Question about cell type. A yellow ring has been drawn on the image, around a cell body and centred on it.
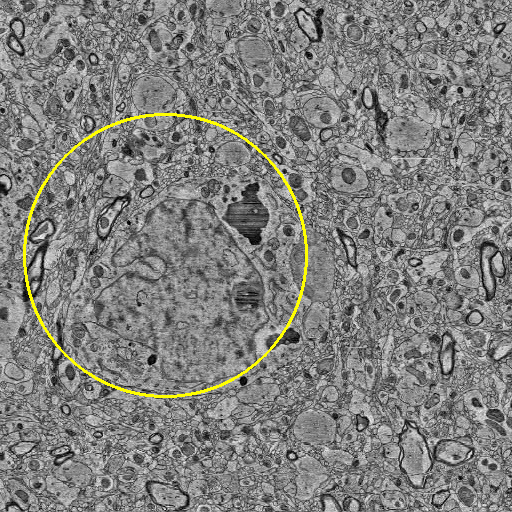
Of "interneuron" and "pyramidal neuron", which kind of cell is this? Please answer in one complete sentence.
At the centre of the ring lies an interneuron.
